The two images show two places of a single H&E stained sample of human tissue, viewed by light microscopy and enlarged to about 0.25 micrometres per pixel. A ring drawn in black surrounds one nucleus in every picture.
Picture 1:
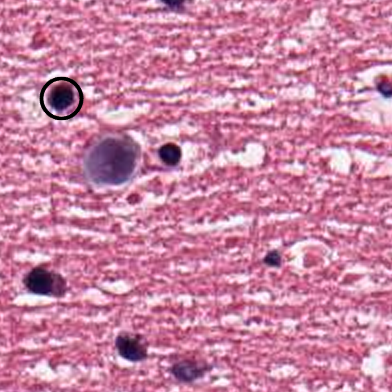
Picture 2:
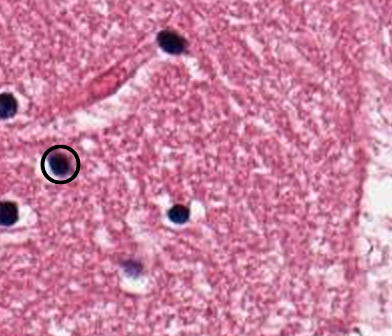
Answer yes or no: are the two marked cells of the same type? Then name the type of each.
Yes, both are oligodendrocytes.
